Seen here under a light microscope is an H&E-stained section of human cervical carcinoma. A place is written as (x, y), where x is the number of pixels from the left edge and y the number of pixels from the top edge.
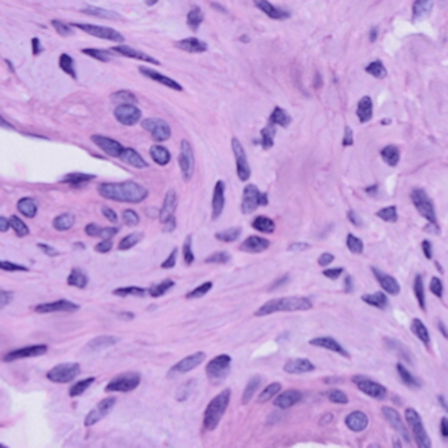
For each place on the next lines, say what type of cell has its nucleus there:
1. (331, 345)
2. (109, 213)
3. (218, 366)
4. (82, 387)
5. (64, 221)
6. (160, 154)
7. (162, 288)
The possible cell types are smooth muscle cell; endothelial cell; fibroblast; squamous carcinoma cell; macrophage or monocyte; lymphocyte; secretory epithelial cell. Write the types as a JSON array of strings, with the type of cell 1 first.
["fibroblast", "smooth muscle cell", "fibroblast", "fibroblast", "smooth muscle cell", "smooth muscle cell", "fibroblast"]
